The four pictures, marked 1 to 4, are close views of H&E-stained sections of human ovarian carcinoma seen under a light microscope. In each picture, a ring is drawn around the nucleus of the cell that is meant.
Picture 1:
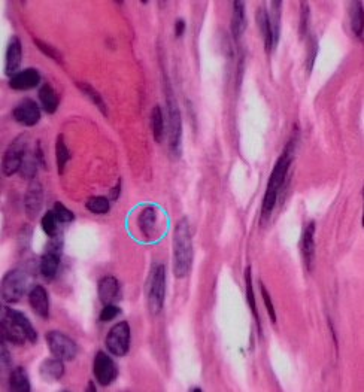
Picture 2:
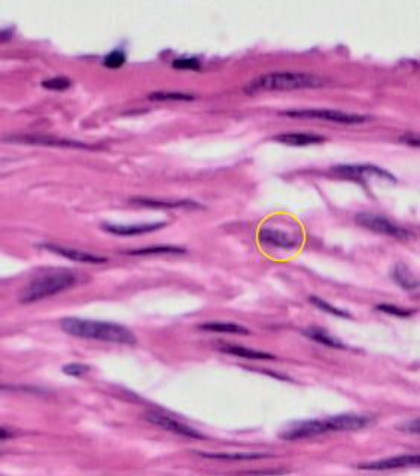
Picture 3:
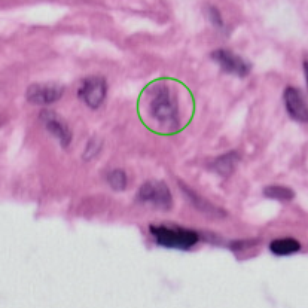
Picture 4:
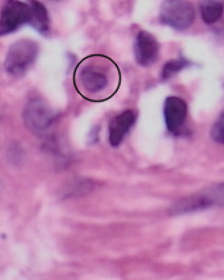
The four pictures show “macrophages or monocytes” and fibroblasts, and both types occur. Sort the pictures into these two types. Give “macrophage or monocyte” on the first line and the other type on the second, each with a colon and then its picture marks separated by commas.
macrophage or monocyte: 4
fibroblast: 1, 2, 3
